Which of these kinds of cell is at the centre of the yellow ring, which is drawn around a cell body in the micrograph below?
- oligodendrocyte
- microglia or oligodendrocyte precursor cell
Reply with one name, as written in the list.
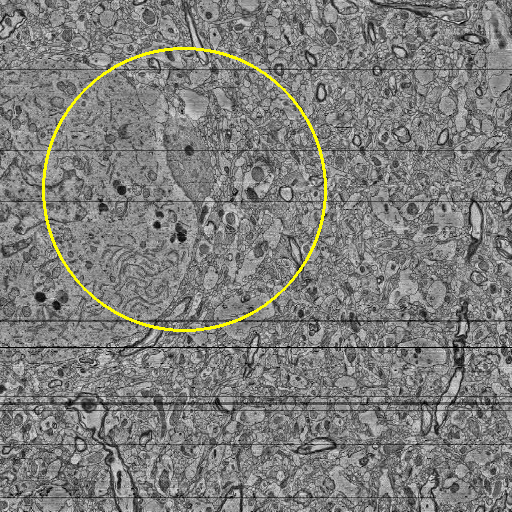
oligodendrocyte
